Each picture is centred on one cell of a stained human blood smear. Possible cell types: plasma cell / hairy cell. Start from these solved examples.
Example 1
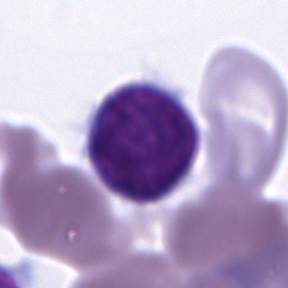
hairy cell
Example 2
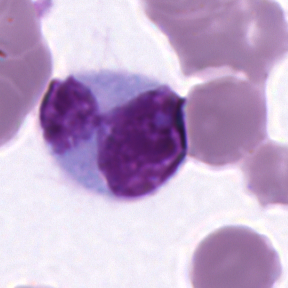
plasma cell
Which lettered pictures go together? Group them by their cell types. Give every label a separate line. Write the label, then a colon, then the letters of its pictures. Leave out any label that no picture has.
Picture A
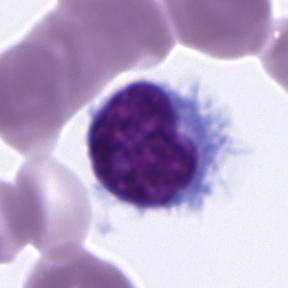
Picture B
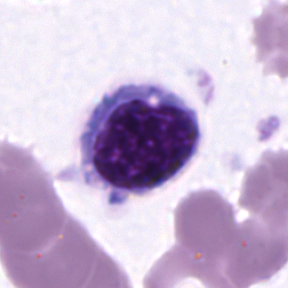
plasma cell: B
hairy cell: A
